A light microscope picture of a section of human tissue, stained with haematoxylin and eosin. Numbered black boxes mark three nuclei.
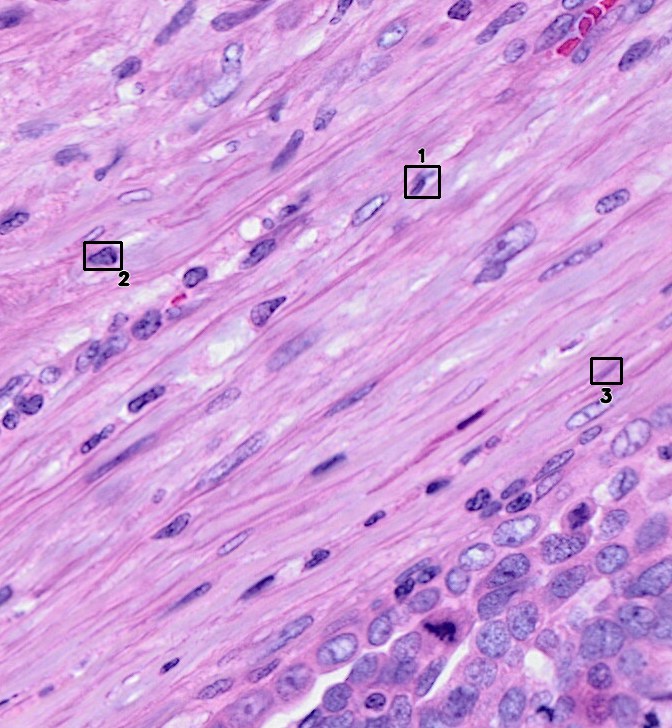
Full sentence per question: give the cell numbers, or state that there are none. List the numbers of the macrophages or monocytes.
So, the cells with numbers 1 and 2 are macrophages or monocytes.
